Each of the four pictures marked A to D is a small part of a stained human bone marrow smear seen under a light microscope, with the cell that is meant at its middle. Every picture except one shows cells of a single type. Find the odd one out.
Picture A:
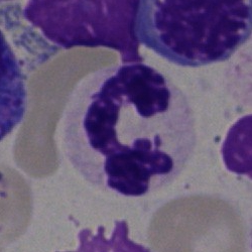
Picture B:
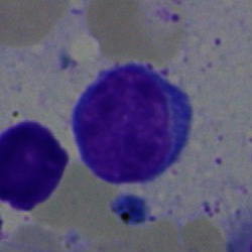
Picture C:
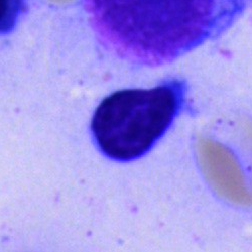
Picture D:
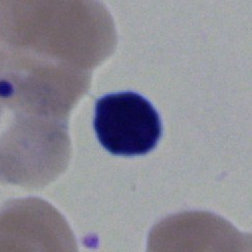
A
